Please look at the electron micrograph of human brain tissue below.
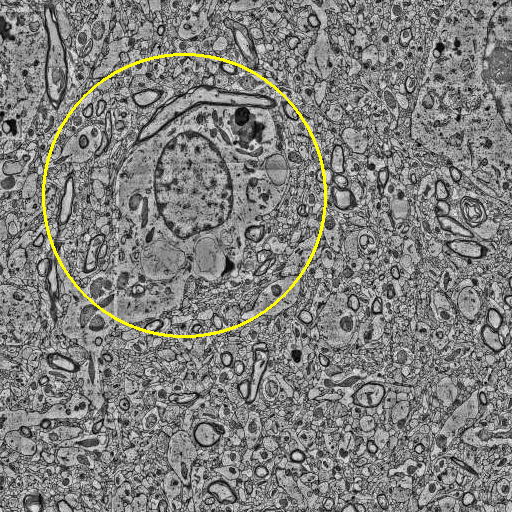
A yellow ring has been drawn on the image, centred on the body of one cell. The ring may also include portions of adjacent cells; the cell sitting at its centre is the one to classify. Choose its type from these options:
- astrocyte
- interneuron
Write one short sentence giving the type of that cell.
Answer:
The cell in the middle of the ring is an astrocyte.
